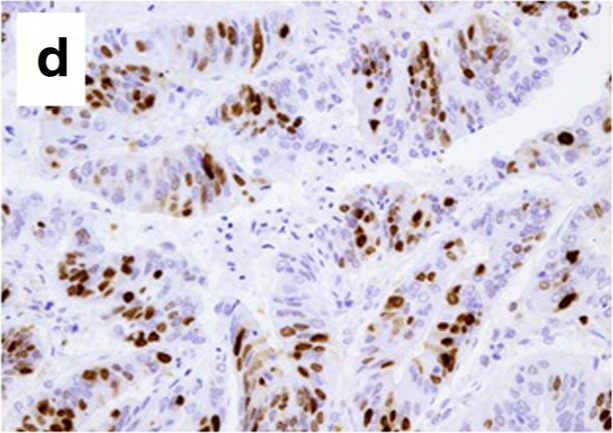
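This is tumour tissue in which crowded cells form nests and gland-like or rosette-like structures. Thin strands of stroma with scattered spindle-shaped nuclei run between them. The tumour cells have oval to elongated nuclei that are stacked in several layers along the edges of the nests, with fine chromatin and a modest rim of pale cytoplasm. A large share of these nuclei stain dark brown, often in clusters. The brown stain sits within the nuclei and leaves the cytoplasm and stroma largely unstained.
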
